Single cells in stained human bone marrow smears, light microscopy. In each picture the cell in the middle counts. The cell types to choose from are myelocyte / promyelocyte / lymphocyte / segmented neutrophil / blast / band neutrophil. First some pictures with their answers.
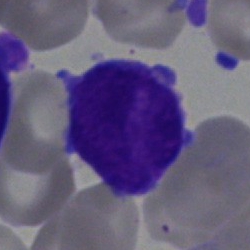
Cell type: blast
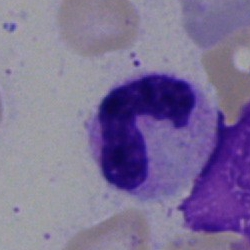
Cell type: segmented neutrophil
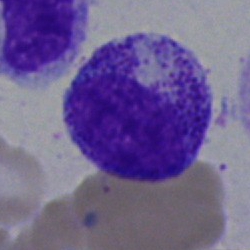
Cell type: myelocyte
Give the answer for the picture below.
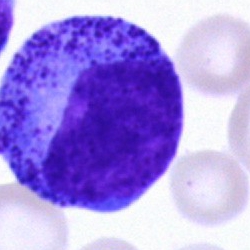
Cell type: promyelocyte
